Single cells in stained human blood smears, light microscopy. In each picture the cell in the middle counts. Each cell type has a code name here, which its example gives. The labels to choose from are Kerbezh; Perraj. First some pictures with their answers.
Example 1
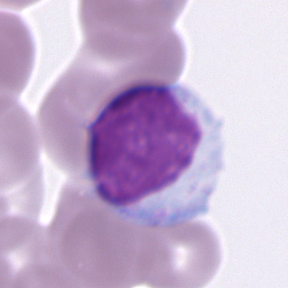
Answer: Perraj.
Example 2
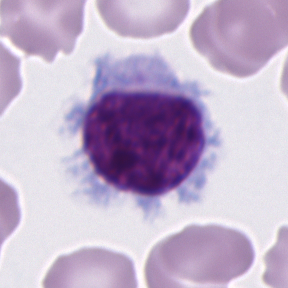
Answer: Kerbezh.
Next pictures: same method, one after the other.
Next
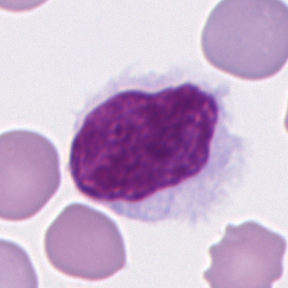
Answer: Kerbezh.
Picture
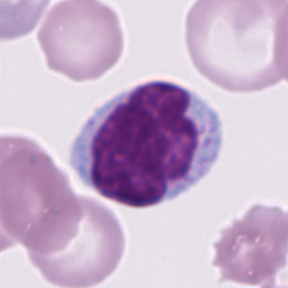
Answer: Perraj.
